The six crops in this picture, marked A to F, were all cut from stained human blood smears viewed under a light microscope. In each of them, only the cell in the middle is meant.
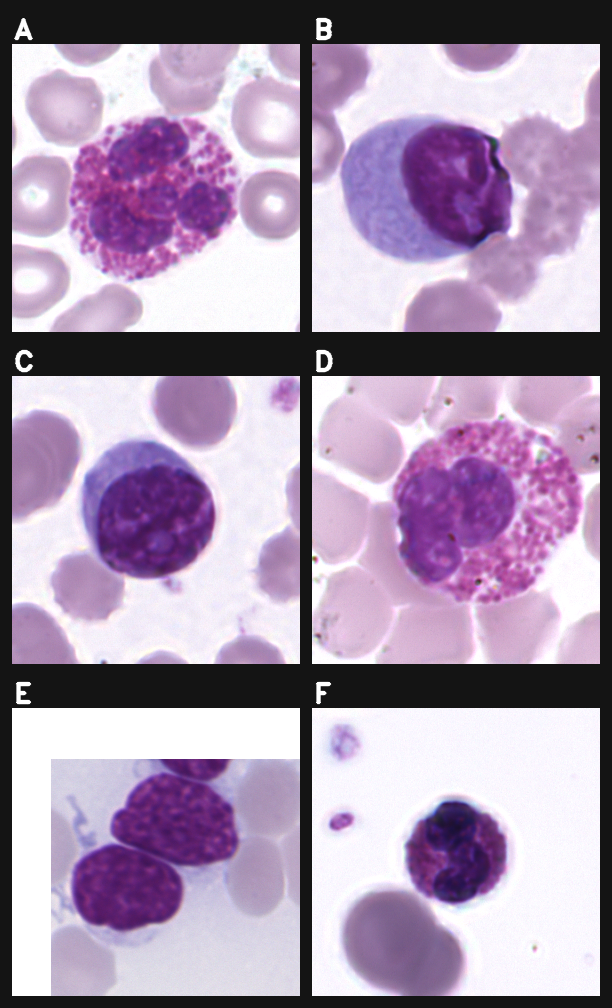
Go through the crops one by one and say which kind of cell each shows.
A: eosinophil
B: plasma cell
C: plasma cell
D: eosinophil
E: blast
F: eosinophil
